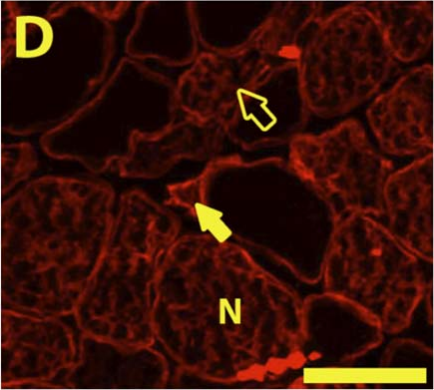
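This is a cross-section of skeletal muscle, with many rounded to polygonal muscle fibers packed side by side. Most fibers are filled with a finely mottled red network and outlined by a red rim, while several fibers among them are dark inside and show only their outline.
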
